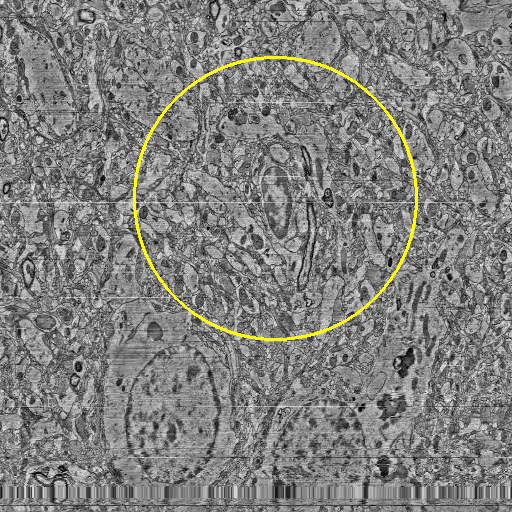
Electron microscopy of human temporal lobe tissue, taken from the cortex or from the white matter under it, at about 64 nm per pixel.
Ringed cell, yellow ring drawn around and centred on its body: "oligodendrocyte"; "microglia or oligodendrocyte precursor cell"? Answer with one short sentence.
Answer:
This ringed cell is a microglial cell or oligodendrocyte precursor cell.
